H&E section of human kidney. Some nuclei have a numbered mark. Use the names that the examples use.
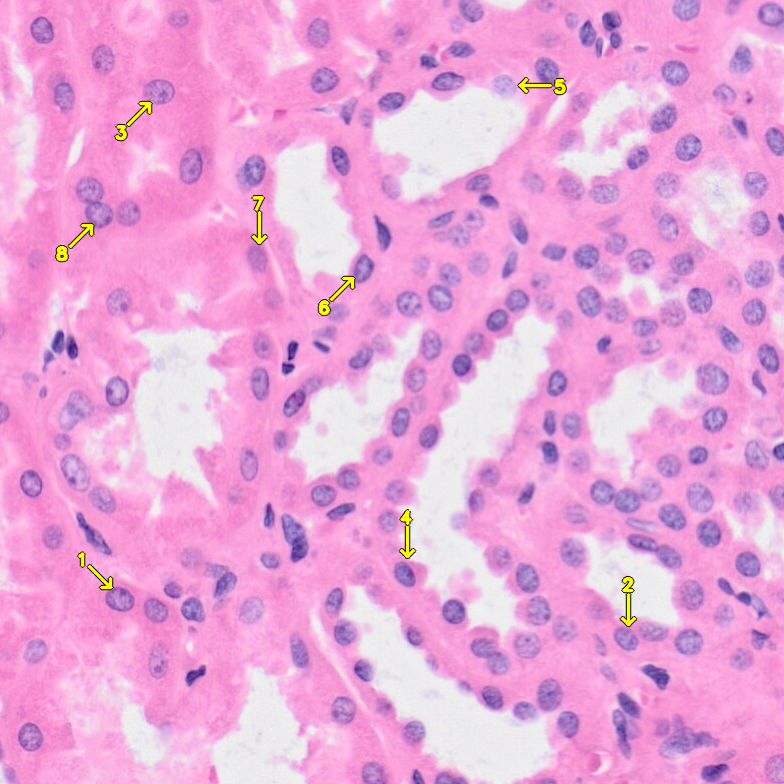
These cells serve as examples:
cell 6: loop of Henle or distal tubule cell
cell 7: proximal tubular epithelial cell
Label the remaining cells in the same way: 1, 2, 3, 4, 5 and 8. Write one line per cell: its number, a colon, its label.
1: proximal tubular epithelial cell
2: loop of Henle or distal tubule cell
3: proximal tubular epithelial cell
4: loop of Henle or distal tubule cell
5: loop of Henle or distal tubule cell
8: proximal tubular epithelial cell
